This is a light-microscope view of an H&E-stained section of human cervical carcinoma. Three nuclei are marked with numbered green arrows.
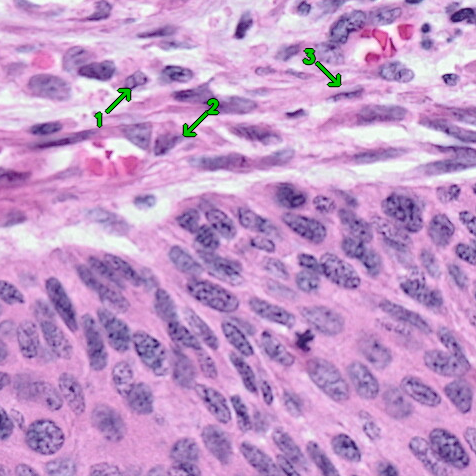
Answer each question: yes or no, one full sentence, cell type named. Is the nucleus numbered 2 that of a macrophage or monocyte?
No, number 2 corresponds to a fibroblast, not a macrophage or monocyte.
